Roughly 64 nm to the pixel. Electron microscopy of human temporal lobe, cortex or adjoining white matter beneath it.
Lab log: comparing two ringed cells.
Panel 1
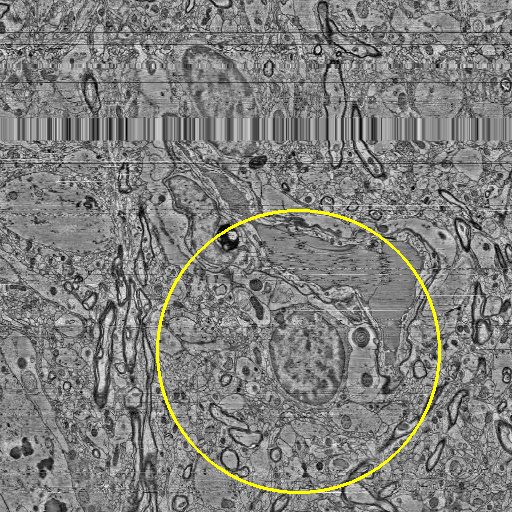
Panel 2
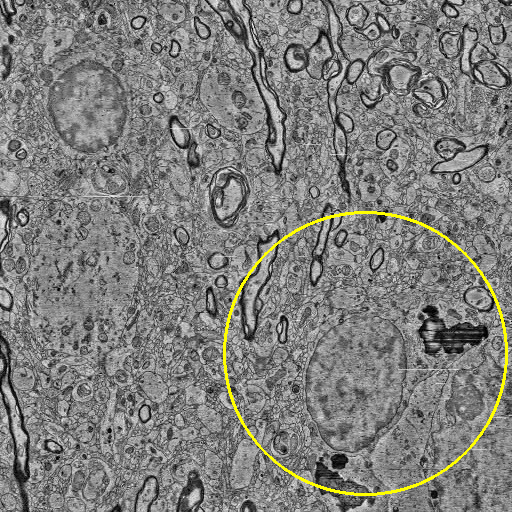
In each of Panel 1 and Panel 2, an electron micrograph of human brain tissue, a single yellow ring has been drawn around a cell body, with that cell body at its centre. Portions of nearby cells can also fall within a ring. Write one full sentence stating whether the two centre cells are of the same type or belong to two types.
The cells at the ring centres in Panel 1 and Panel 2 are of the same type.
